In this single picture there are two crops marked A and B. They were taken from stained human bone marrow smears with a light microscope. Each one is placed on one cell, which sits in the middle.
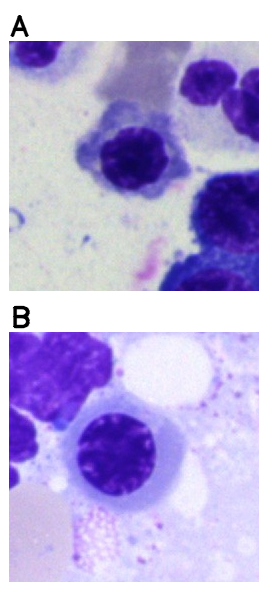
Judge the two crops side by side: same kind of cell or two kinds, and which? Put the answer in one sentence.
Yes, both crops show erythroblasts, to put it briefly.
